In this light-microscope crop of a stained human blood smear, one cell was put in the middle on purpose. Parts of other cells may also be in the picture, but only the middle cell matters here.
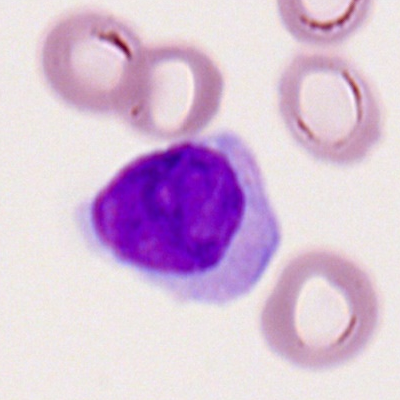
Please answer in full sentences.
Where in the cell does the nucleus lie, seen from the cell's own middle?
Seen from the middle of the cell, the nucleus lies toward the upper left.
